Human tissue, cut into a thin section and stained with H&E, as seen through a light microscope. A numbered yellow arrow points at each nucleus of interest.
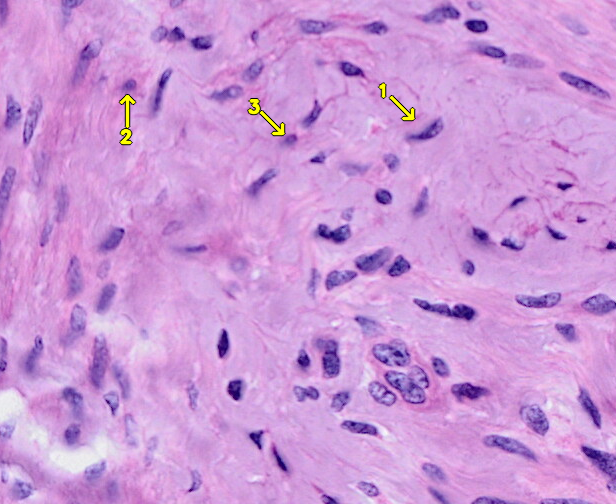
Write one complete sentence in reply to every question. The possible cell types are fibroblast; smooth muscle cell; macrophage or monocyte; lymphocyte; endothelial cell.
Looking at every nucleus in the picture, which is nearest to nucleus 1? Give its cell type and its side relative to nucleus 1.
The nearest nucleus is that of a fibroblast and lies below and to the left of nucleus 1.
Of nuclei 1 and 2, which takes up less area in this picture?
The smaller nucleus is 2, and 1 covers roughly 2 times its area.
